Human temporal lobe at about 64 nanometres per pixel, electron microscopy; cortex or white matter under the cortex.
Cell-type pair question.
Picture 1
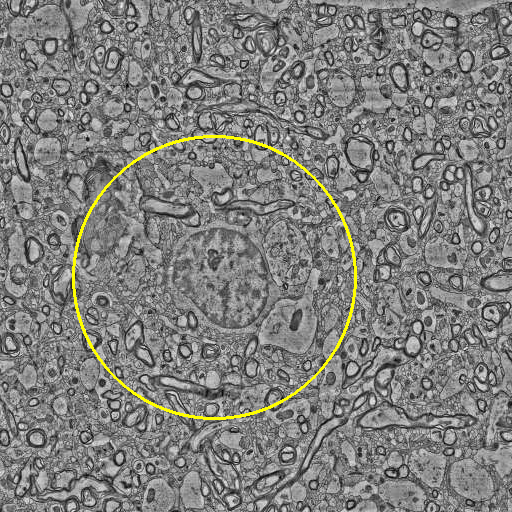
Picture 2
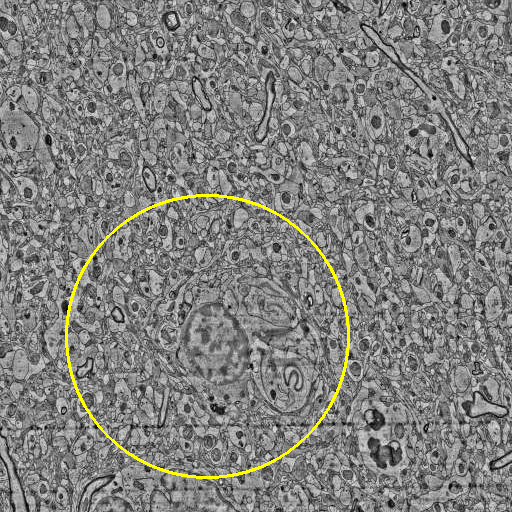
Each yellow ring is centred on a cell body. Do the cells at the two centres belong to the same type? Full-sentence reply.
Yes, the two cells belong to the same type.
